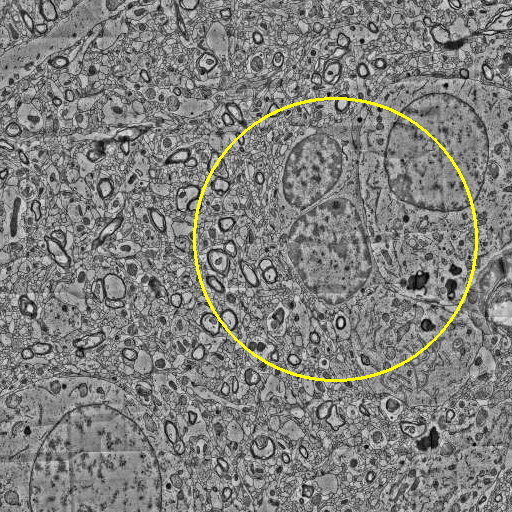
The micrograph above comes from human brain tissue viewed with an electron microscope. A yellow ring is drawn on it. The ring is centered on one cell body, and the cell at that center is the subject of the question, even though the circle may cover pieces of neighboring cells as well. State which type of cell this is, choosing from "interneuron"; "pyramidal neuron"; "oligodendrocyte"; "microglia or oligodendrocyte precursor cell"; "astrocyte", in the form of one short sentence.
The cell the ring is centered on is an oligodendrocyte.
